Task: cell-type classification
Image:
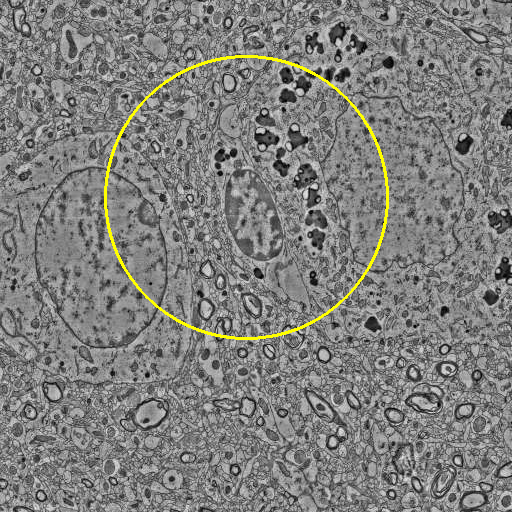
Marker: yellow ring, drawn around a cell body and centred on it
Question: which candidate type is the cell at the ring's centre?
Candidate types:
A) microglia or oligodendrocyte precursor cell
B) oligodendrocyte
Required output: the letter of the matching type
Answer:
A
